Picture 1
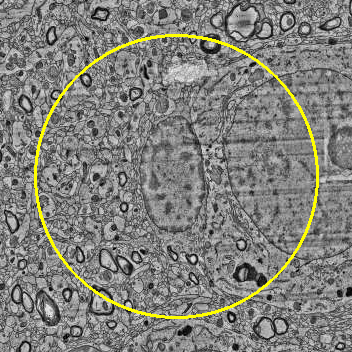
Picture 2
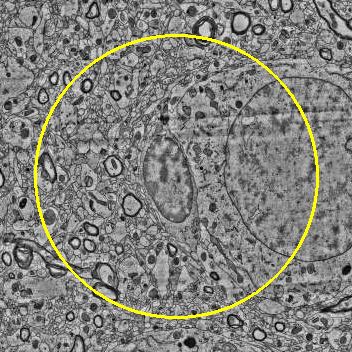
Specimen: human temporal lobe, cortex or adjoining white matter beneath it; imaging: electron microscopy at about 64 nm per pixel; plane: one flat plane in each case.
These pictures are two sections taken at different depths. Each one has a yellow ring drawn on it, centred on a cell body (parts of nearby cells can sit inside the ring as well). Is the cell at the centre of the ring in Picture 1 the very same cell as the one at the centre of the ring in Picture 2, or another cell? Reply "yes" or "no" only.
yes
